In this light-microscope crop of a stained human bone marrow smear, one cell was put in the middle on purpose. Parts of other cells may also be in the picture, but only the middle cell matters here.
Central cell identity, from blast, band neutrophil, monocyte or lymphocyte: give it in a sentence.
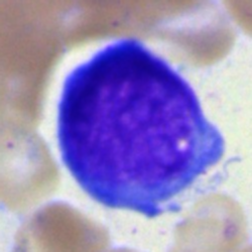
The cell positioned in the middle of the field is a blast.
